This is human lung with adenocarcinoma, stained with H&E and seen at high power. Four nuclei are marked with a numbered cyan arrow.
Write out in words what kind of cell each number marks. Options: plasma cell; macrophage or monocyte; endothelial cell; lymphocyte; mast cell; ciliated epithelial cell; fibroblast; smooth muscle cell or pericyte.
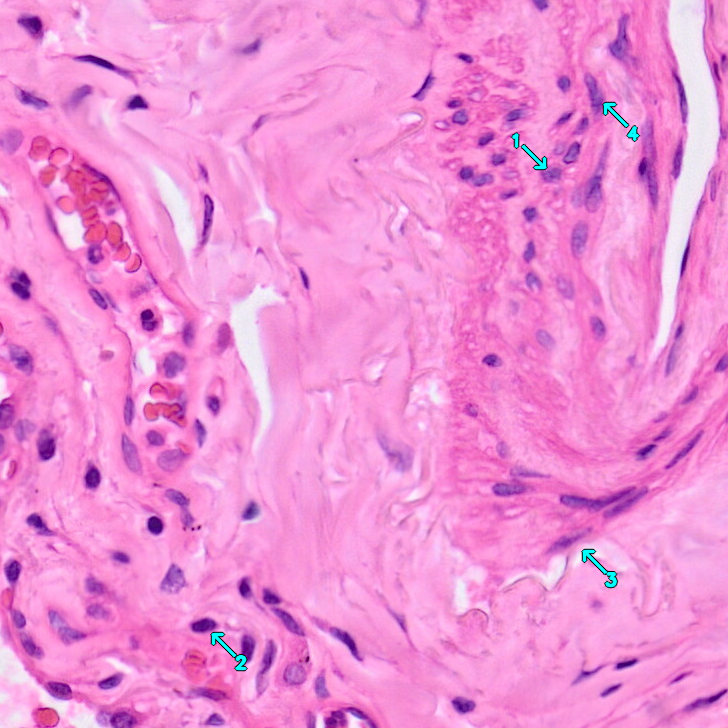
Cell 1 is a smooth muscle cell or pericyte, cell 2 is a lymphocyte, cell 3 is a smooth muscle cell or pericyte and cell 4 is a smooth muscle cell or pericyte.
